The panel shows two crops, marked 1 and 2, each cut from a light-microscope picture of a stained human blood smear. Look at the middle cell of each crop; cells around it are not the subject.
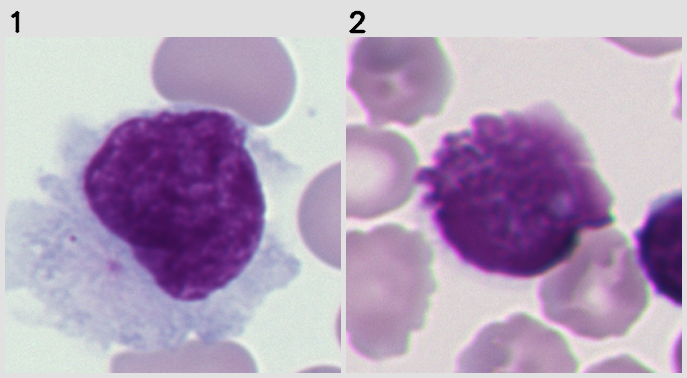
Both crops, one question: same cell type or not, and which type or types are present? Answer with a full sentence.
No, crop 1 shows a hairy cell, whereas in crop 2 the cell is a smudge cell.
